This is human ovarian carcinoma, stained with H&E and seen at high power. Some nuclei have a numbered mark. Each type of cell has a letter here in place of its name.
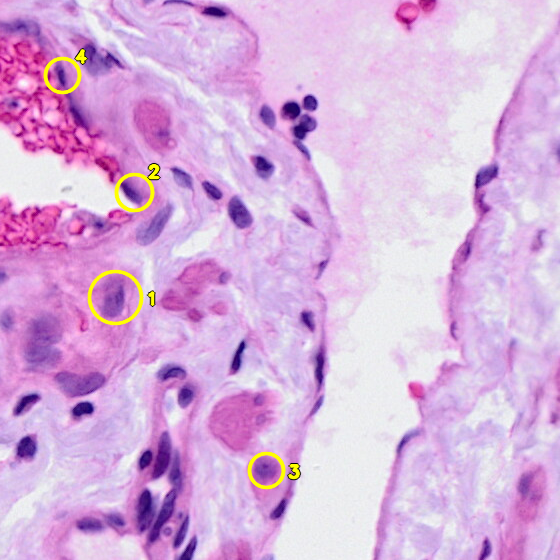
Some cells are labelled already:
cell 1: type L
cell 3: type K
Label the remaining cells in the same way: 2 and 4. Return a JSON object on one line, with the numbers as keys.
{"2": "type L", "4": "type L"}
